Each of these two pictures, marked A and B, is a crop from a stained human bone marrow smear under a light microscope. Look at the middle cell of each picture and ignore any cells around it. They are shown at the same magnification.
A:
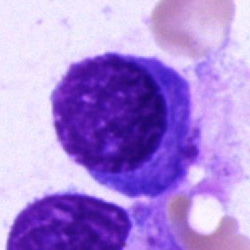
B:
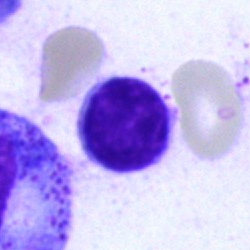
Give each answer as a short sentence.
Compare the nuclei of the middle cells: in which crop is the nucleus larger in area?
It is the nucleus in crop A, about 1.5 times as large in area as the one in crop B.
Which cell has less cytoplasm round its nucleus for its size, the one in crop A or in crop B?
In crop B the nucleus takes up the larger part of its cell.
